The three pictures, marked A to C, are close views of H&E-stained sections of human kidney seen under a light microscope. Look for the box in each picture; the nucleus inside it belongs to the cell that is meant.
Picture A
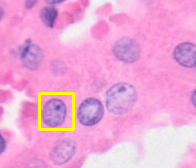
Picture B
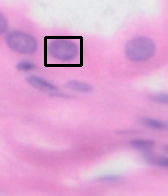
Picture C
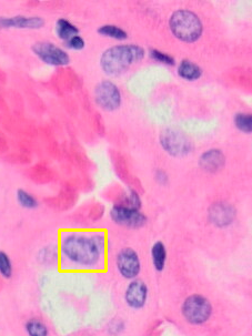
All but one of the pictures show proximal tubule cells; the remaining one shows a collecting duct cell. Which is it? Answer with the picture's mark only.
C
